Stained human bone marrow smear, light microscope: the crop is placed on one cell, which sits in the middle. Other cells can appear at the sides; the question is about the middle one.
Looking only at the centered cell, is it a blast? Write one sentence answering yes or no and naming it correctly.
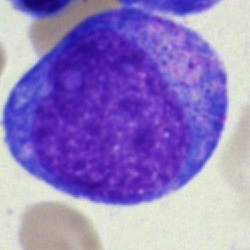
Yes, this is a blast, the cell in the middle of the crop.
